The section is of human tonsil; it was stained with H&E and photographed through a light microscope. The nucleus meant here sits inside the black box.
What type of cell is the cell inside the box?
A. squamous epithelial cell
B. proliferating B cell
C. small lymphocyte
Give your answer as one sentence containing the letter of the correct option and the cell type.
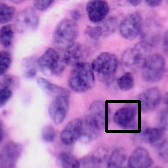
Here the correct option is B, since the cell inside the box is a proliferating B cell.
